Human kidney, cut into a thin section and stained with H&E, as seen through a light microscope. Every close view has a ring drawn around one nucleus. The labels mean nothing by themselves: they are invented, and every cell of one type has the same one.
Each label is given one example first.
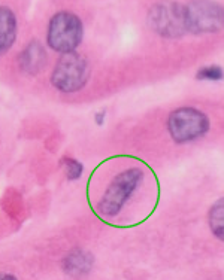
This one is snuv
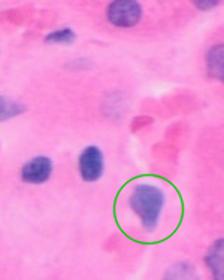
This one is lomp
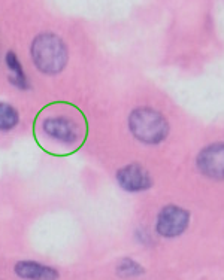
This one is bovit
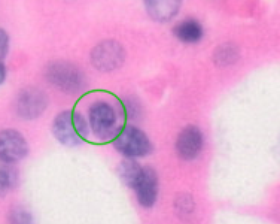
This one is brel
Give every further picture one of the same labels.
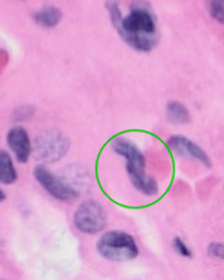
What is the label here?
lomp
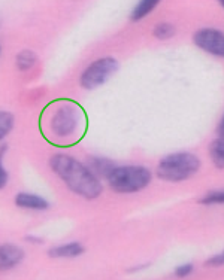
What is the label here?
brel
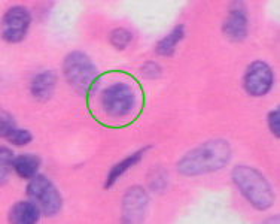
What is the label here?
brel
